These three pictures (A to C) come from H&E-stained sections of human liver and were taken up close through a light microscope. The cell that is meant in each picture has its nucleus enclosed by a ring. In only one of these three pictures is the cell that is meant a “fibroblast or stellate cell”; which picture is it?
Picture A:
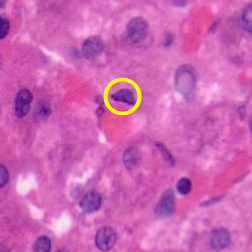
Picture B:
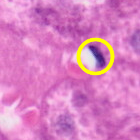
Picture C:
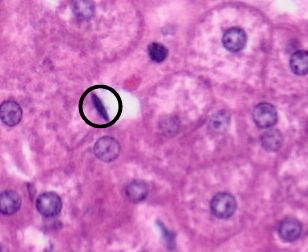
A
